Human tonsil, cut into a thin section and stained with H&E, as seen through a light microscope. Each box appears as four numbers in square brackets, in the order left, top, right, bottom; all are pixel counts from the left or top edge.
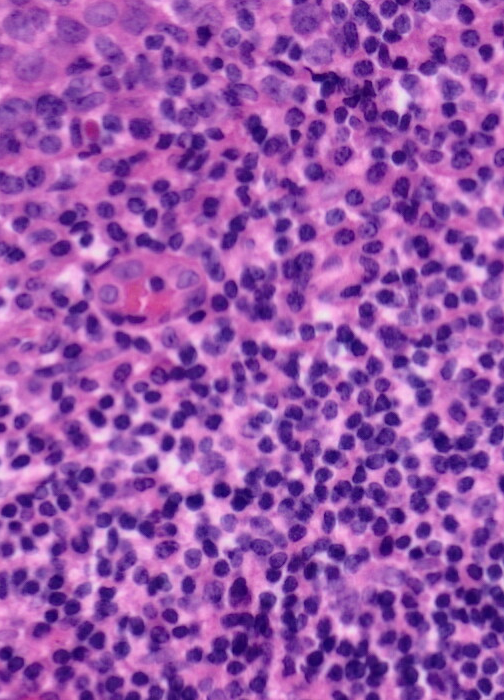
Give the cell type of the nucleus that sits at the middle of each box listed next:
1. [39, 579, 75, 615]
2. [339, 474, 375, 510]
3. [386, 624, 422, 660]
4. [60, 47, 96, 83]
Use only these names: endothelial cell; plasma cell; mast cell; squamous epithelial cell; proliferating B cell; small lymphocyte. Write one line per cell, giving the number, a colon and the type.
1: small lymphocyte
2: small lymphocyte
3: small lymphocyte
4: squamous epithelial cell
